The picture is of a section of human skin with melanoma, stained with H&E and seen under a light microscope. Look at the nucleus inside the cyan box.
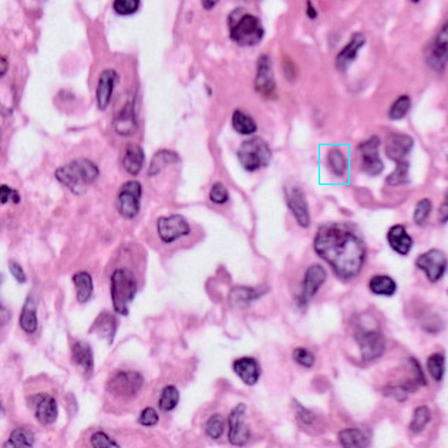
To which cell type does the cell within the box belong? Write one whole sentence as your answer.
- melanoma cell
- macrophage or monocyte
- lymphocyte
The cell within the box appears to be a macrophage or monocyte.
